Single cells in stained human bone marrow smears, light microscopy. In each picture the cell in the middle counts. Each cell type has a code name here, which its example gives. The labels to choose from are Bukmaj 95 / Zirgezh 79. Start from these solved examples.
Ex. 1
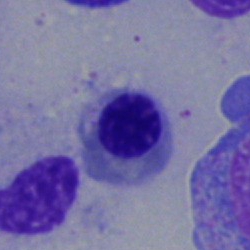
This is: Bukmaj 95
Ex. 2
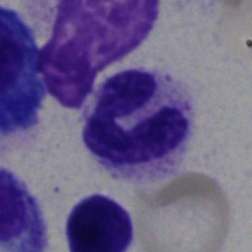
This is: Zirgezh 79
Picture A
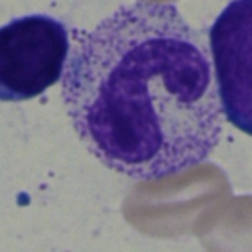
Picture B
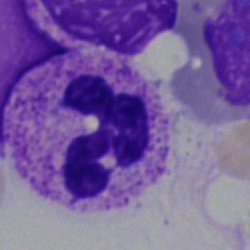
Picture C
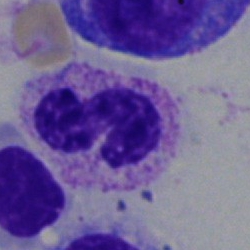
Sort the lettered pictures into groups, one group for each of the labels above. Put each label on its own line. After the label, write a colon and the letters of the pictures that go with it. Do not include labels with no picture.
Zirgezh 79: A, B, C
